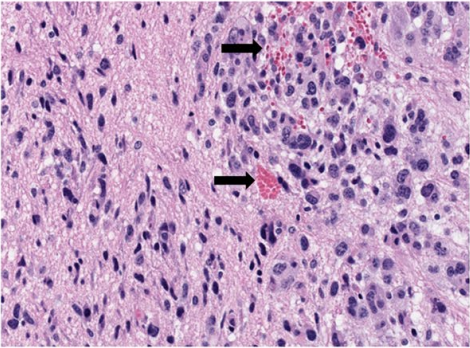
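The tumor cells have dark, elongated to irregular and often enlarged nuclei. They are crowded in one part of the field and thin out into the looser pink background. Small collections of bright red blood cells lie among the tumor cells as small hemorrhages. Compared with normal brain, the cells are more numerous, more varied in size and darker-staining.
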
